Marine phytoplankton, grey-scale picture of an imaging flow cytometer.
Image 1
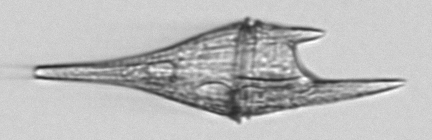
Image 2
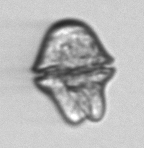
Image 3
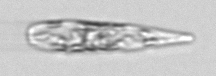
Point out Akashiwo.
That is picture 2.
